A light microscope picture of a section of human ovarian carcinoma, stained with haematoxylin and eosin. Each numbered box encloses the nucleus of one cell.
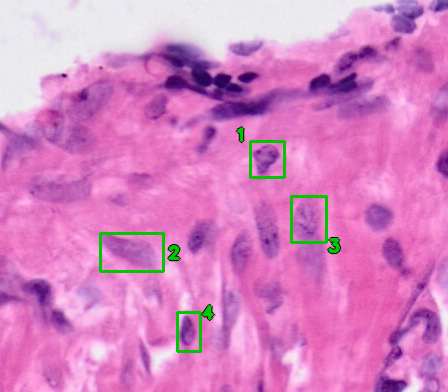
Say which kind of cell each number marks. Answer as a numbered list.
1. macrophage or monocyte
2. fibroblast
3. fibroblast
4. fibroblast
